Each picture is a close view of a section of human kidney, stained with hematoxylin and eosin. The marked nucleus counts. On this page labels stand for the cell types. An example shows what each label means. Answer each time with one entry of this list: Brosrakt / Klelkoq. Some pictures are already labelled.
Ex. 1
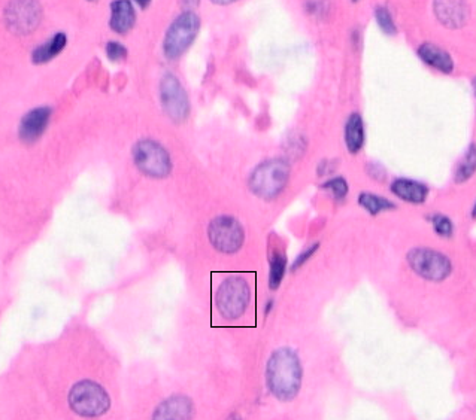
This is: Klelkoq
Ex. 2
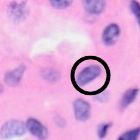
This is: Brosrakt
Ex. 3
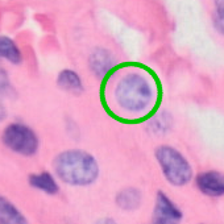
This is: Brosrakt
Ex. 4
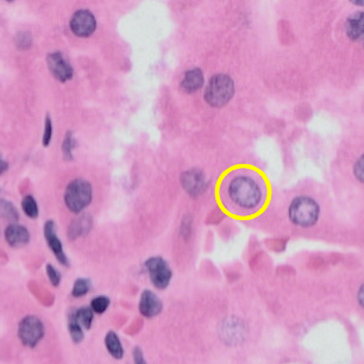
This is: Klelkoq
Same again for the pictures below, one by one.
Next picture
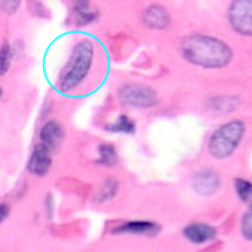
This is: Brosrakt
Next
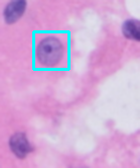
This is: Klelkoq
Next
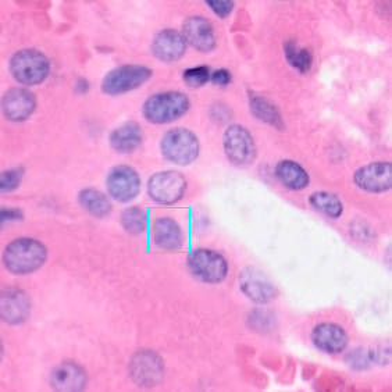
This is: Brosrakt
